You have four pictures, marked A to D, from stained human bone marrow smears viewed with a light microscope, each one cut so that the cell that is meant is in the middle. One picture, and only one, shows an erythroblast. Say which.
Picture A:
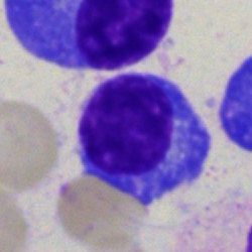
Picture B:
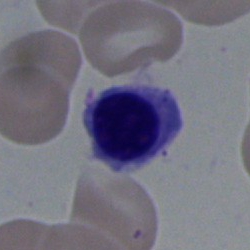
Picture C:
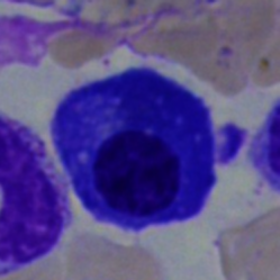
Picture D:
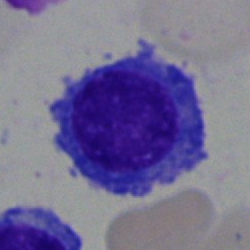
B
